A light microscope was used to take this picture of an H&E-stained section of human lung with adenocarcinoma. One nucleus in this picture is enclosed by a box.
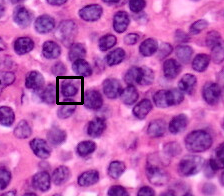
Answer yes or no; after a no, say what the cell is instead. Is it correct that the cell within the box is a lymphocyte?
Yes.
